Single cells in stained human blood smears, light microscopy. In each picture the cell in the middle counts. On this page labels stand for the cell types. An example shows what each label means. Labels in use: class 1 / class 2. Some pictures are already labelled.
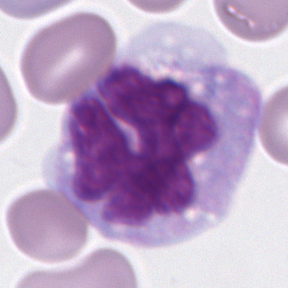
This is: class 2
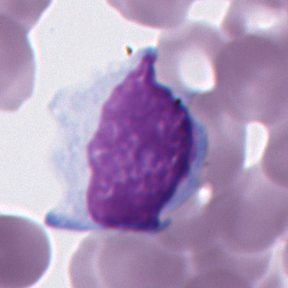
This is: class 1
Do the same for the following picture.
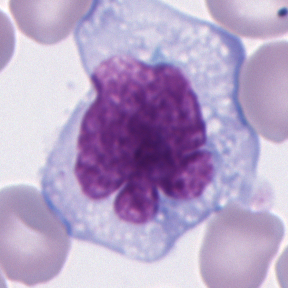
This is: class 2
